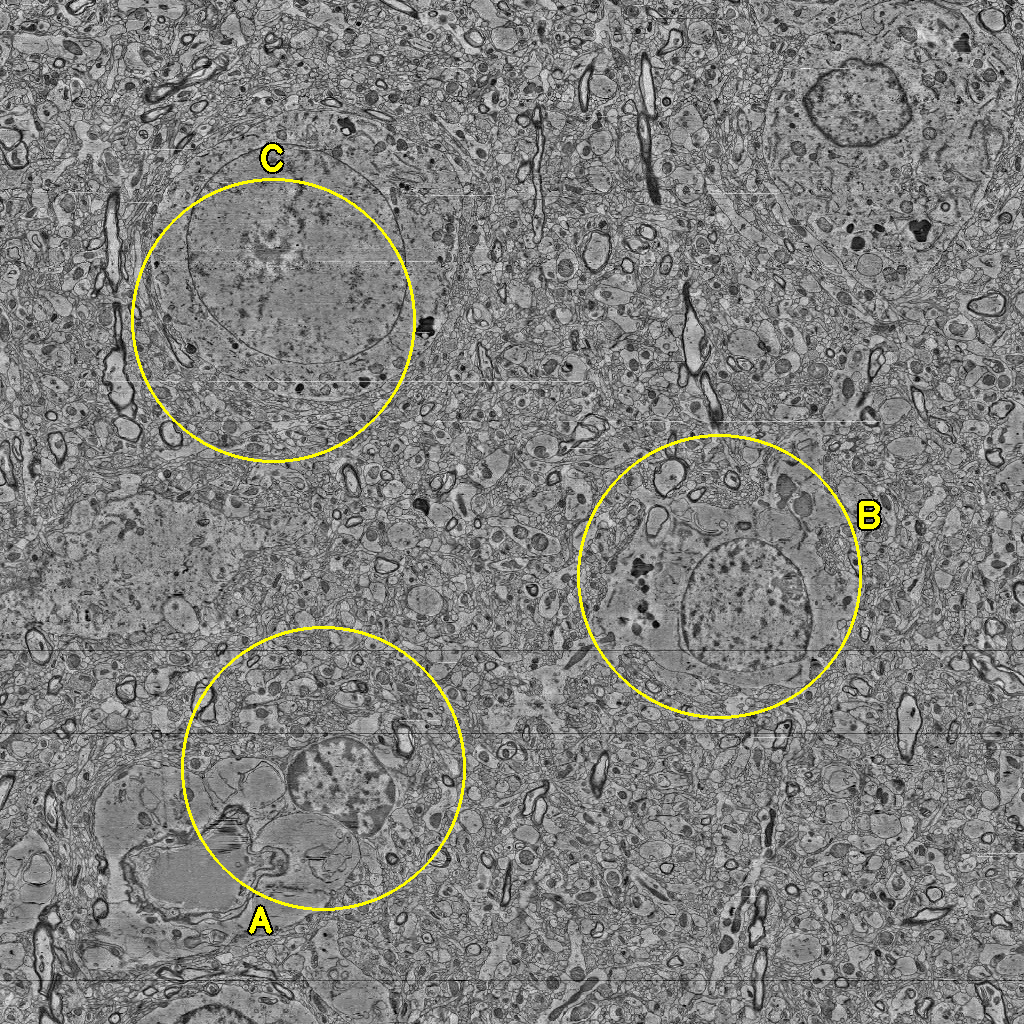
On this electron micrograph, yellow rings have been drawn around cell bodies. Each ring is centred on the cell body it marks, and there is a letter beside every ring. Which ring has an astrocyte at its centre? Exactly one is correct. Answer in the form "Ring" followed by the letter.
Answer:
Ring B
